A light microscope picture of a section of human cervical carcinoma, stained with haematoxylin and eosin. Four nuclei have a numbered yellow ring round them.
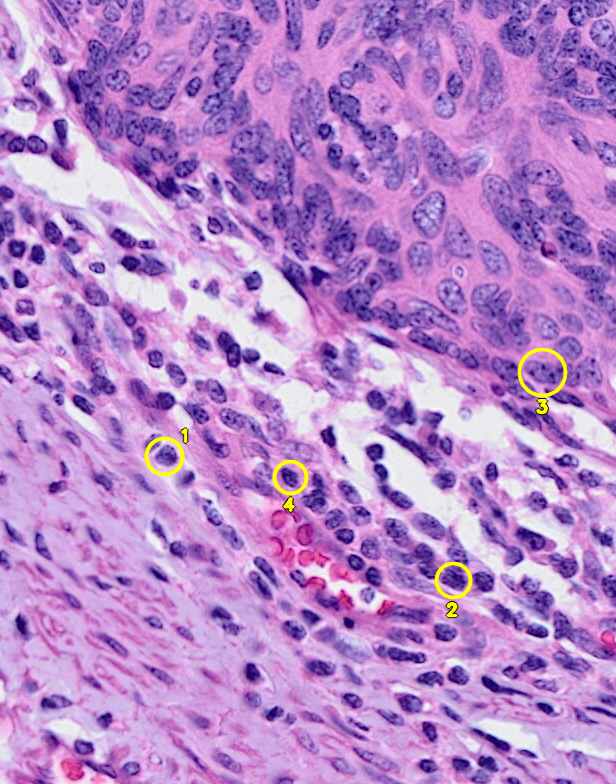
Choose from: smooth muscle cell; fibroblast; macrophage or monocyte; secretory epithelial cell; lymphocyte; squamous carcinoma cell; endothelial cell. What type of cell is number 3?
squamous carcinoma cell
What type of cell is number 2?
lymphocyte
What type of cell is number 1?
lymphocyte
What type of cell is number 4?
lymphocyte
